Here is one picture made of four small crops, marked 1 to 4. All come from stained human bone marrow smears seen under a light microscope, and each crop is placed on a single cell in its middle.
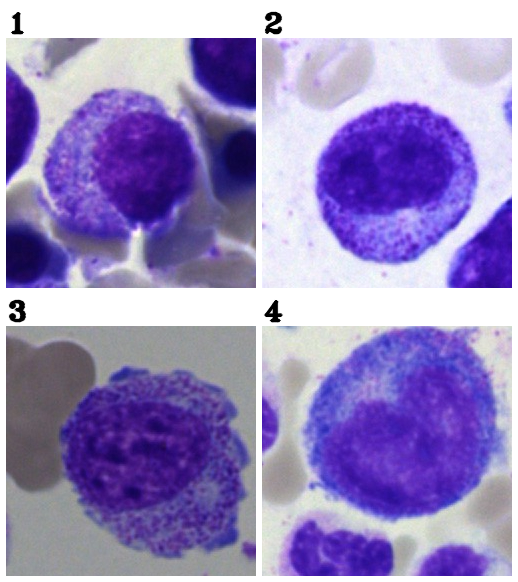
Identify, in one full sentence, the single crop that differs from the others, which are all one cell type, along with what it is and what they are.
Crop 4 breaks the pattern with a promyelocyte; all the others show myelocytes.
